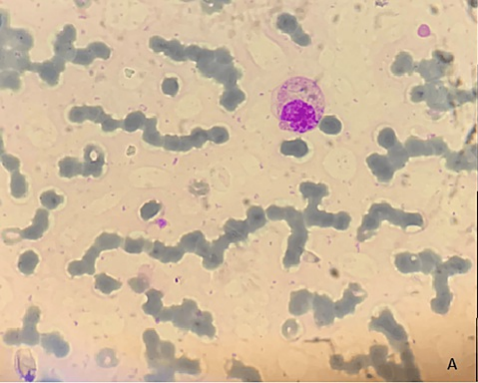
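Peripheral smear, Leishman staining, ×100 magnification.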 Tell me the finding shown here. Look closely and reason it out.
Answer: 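Rouleaux formation of erythrocytes. Red cells lie stacked face to face in long chains. The chains branch and run across the field like strings of coins.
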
